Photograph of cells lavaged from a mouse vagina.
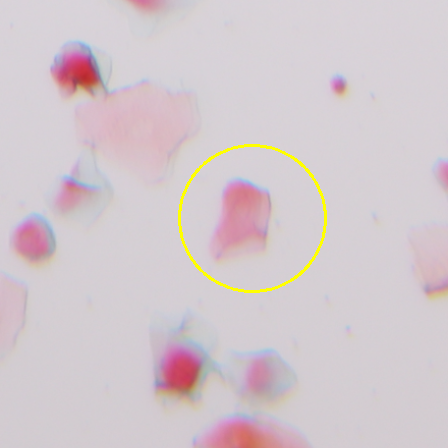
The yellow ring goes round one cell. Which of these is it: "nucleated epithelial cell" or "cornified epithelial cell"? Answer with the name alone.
cornified epithelial cell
